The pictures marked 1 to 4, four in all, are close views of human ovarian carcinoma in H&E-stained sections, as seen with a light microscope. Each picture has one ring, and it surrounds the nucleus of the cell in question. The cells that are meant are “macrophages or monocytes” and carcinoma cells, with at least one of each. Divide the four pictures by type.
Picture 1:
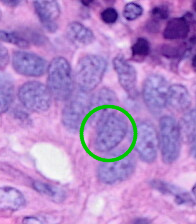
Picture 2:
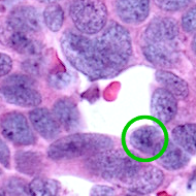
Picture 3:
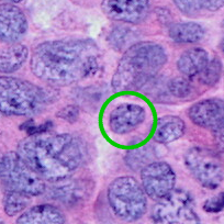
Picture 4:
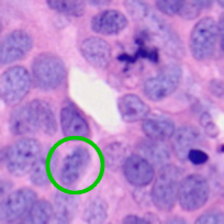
1: carcinoma cell
2: carcinoma cell
3: macrophage or monocyte
4: carcinoma cell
